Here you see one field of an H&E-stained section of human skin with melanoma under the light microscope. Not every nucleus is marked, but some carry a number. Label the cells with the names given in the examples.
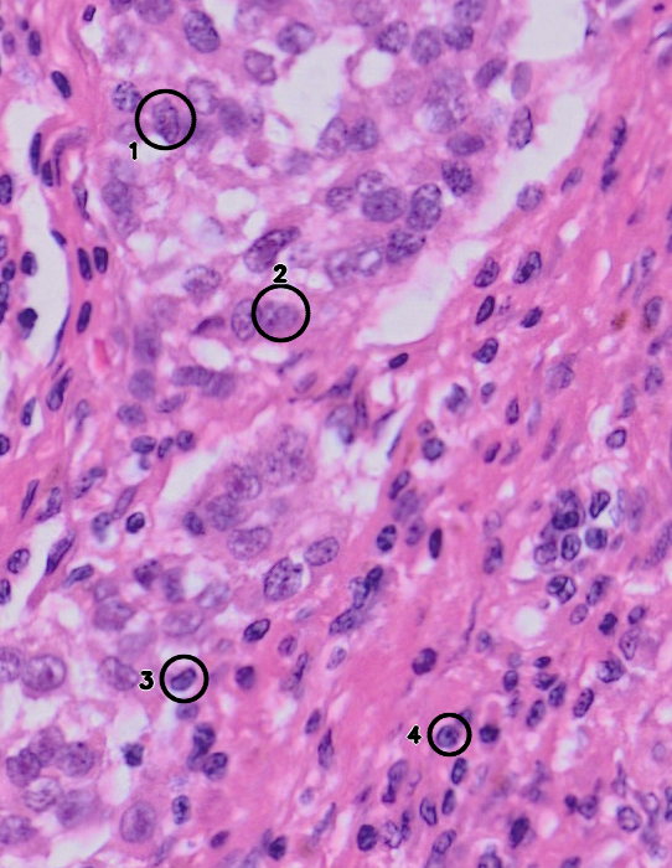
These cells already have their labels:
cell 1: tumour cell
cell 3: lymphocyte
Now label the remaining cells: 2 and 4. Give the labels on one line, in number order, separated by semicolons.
tumour cell; lymphocyte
